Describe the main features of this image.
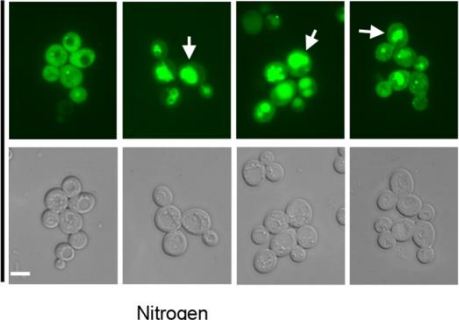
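These are budding yeast cells, seen above in green fluorescence and below in differential interference contrast. The cells are small, round to oval, and several carry buds, lying in loose clusters. In some cells the green fills a large round compartment inside the cell, the vacuole, which then shines brightly, while in others the green lies more evenly through the cell with a darker round area. The arrows pick out cells with the bright, filled vacuoles.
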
